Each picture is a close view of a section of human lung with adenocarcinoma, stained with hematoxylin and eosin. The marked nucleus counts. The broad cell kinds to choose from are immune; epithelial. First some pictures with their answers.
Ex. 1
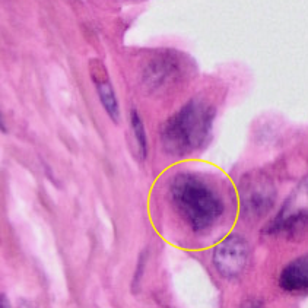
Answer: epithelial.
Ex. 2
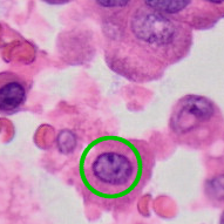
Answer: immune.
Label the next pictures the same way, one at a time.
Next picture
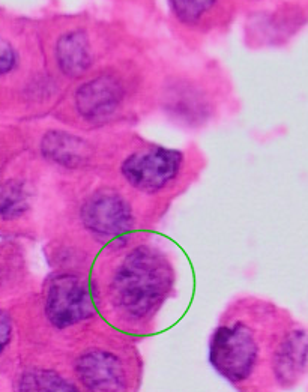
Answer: epithelial.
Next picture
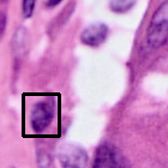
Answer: immune.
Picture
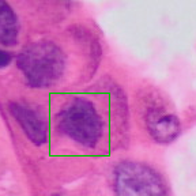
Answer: epithelial.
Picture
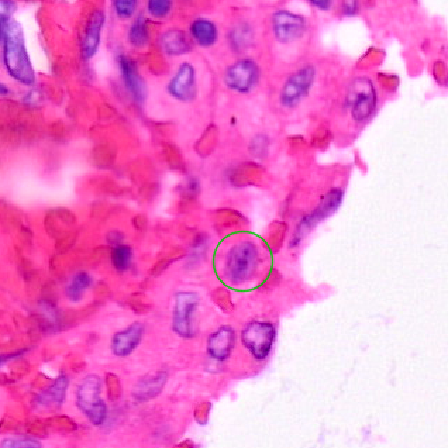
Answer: immune.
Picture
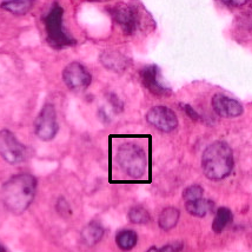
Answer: immune.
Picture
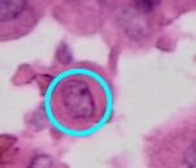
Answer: immune.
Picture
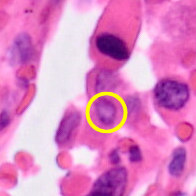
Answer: immune.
